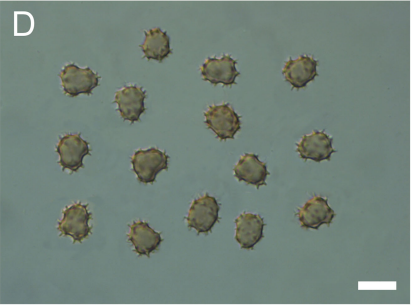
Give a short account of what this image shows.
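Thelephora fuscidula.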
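Basidiospores seen singly in light microscopy. Each spore is pale brown, angular to roundish in outline and roughly equal in size to the others. Short pointed spines project from the whole margin of each spore. The spores lie separate, evenly spread on a clear background.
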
